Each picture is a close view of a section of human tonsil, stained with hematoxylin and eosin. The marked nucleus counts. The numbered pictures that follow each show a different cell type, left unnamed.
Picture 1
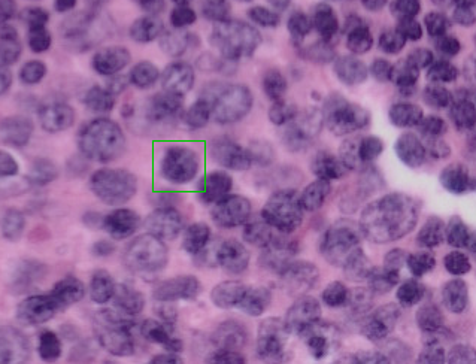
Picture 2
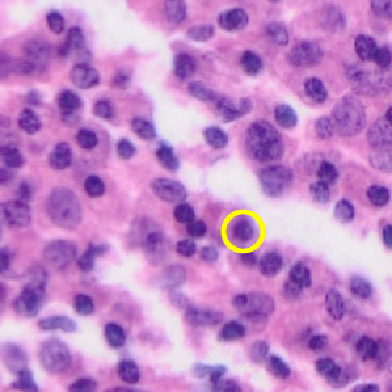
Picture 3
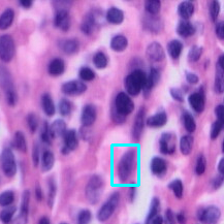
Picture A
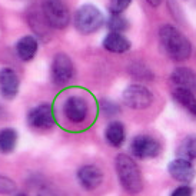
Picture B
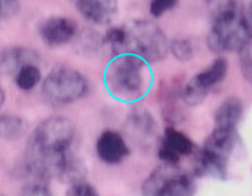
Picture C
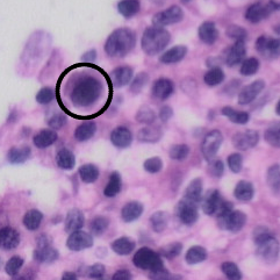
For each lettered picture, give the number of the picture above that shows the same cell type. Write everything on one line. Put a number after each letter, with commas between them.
A 2, B 1, C 1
